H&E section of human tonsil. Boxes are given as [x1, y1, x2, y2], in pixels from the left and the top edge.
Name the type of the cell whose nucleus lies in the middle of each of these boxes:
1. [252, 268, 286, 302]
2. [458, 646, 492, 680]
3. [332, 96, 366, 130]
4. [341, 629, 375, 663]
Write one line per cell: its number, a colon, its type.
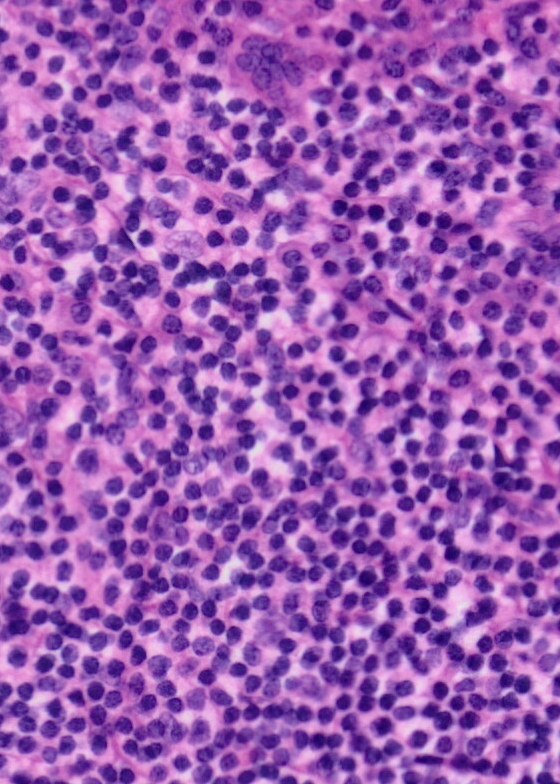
1: small lymphocyte
2: small lymphocyte
3: plasma cell
4: small lymphocyte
